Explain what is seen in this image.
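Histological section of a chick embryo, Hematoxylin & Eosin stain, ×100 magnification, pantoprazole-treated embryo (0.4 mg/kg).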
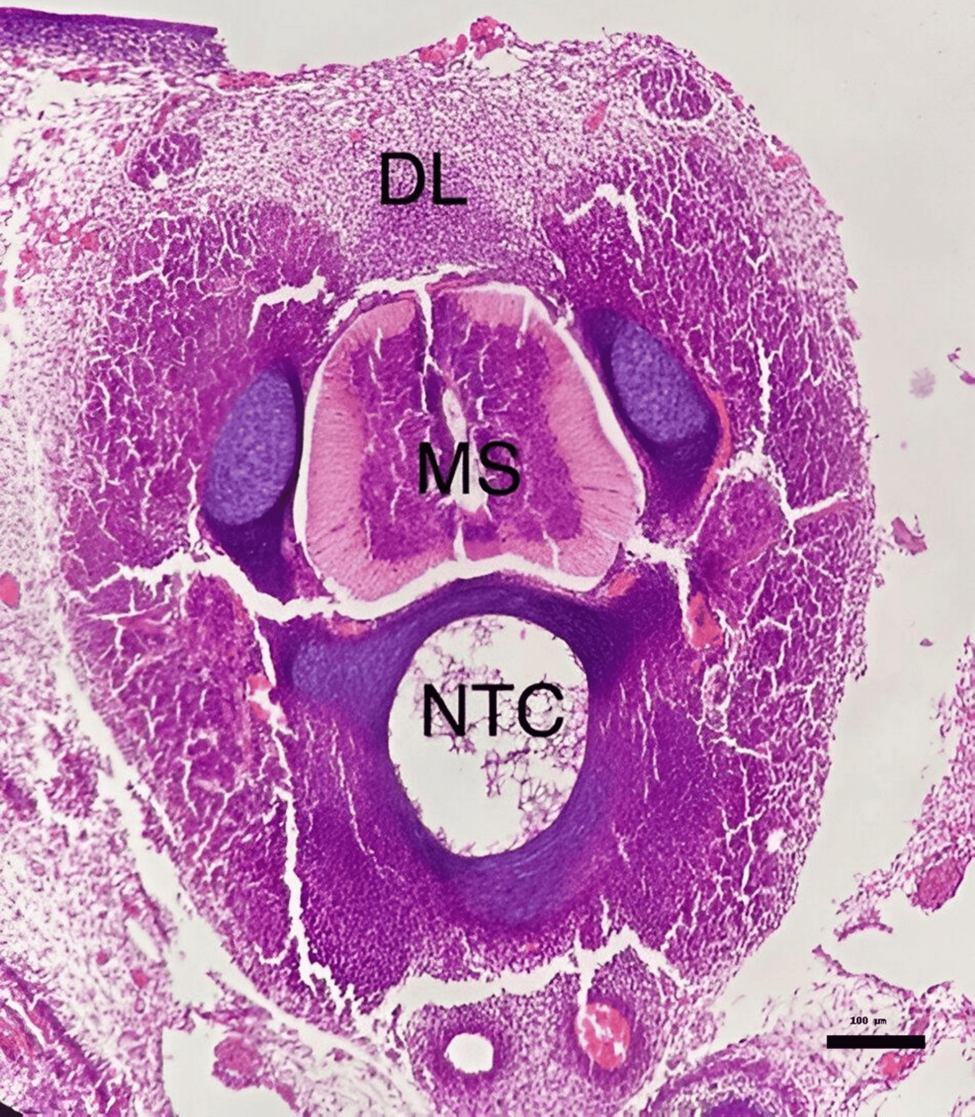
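The cord has a pale pink outer layer and darker purple, densely nucleated inner tissue around a narrow midline canal. A midline cleft runs through the dorsal half of the cord up to its dorsal surface. Two deep purple oval bodies lie on either side of the cord. The notochord is a round structure of pale, vacuolated, loosely meshed cells, ringed by a thick, dark purple sheath of densely packed cells. Dorsal to the cord lies looser, paler tissue. Dense purple mesenchyme fills the flanks, with small red-filled vessels.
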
